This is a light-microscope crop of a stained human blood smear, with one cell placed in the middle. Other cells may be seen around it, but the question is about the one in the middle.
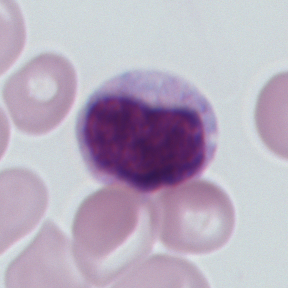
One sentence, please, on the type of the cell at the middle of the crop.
The cell the crop is centered on is a metamyelocyte.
